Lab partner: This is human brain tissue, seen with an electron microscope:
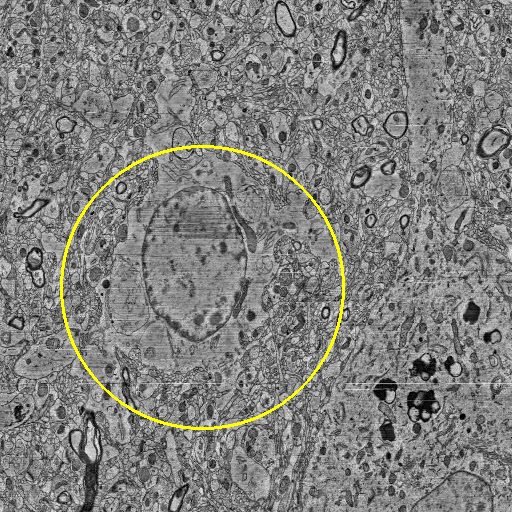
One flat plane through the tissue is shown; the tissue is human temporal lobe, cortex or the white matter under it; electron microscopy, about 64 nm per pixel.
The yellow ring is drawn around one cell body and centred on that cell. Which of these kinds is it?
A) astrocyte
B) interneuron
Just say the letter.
A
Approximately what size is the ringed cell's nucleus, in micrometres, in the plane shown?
The nucleus measures about 10 by 7 micrometres, so it is clearly longer than it is wide in this plane.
